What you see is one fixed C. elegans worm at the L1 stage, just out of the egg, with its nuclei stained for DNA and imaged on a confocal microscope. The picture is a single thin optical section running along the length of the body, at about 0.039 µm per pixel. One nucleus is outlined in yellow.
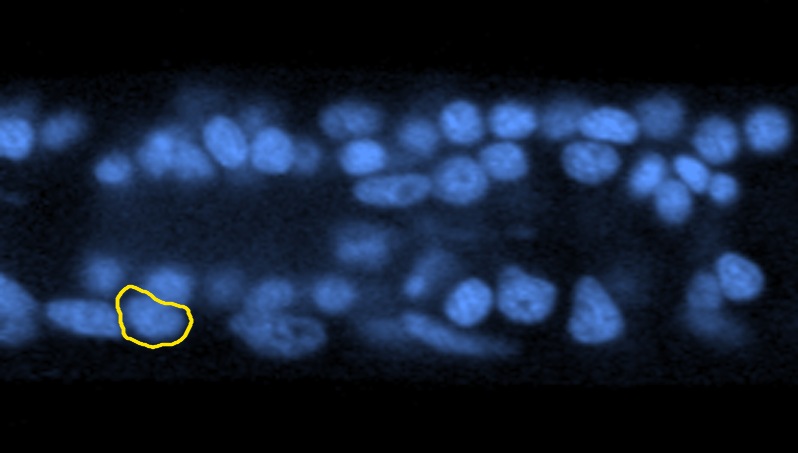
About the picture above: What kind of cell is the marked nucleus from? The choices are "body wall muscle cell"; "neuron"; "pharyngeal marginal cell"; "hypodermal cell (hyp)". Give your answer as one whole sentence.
The marked nucleus belongs to a neuron.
